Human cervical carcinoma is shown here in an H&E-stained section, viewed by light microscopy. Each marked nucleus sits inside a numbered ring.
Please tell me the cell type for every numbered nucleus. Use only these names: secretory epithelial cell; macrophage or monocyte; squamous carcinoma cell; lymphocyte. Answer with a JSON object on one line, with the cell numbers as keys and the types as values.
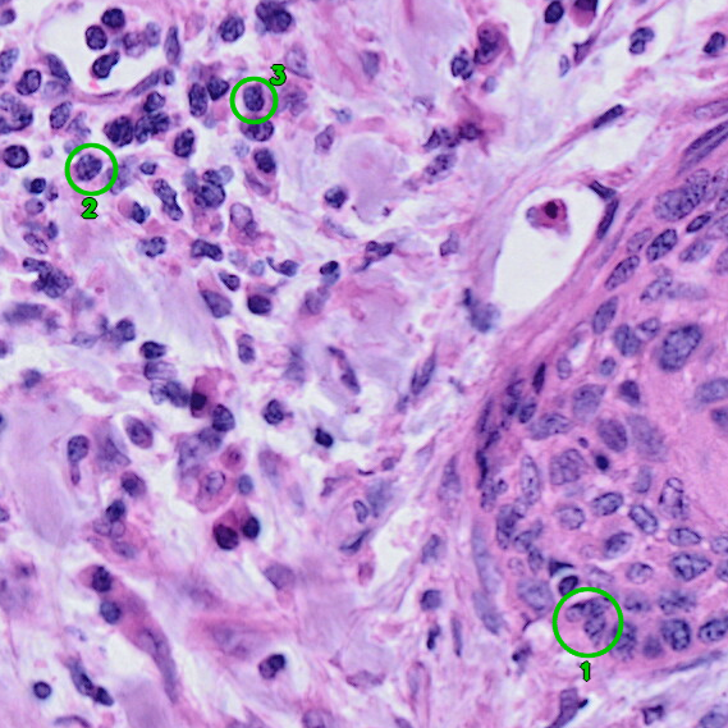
{"1": "squamous carcinoma cell", "2": "lymphocyte", "3": "lymphocyte"}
